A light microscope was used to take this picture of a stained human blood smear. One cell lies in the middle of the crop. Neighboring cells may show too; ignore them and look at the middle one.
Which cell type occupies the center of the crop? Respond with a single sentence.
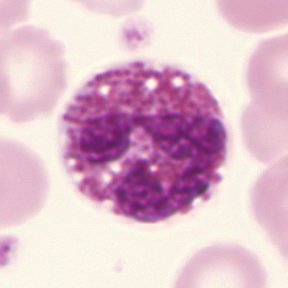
The middle position in this crop is taken by an eosinophil.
